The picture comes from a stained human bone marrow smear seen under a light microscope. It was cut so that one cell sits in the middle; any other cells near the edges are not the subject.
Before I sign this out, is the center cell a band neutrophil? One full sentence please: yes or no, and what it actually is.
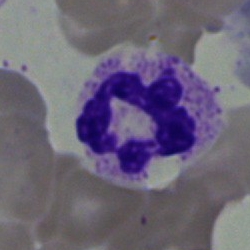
No, the correct answer for the middle cell is a segmented neutrophil, not a band neutrophil.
